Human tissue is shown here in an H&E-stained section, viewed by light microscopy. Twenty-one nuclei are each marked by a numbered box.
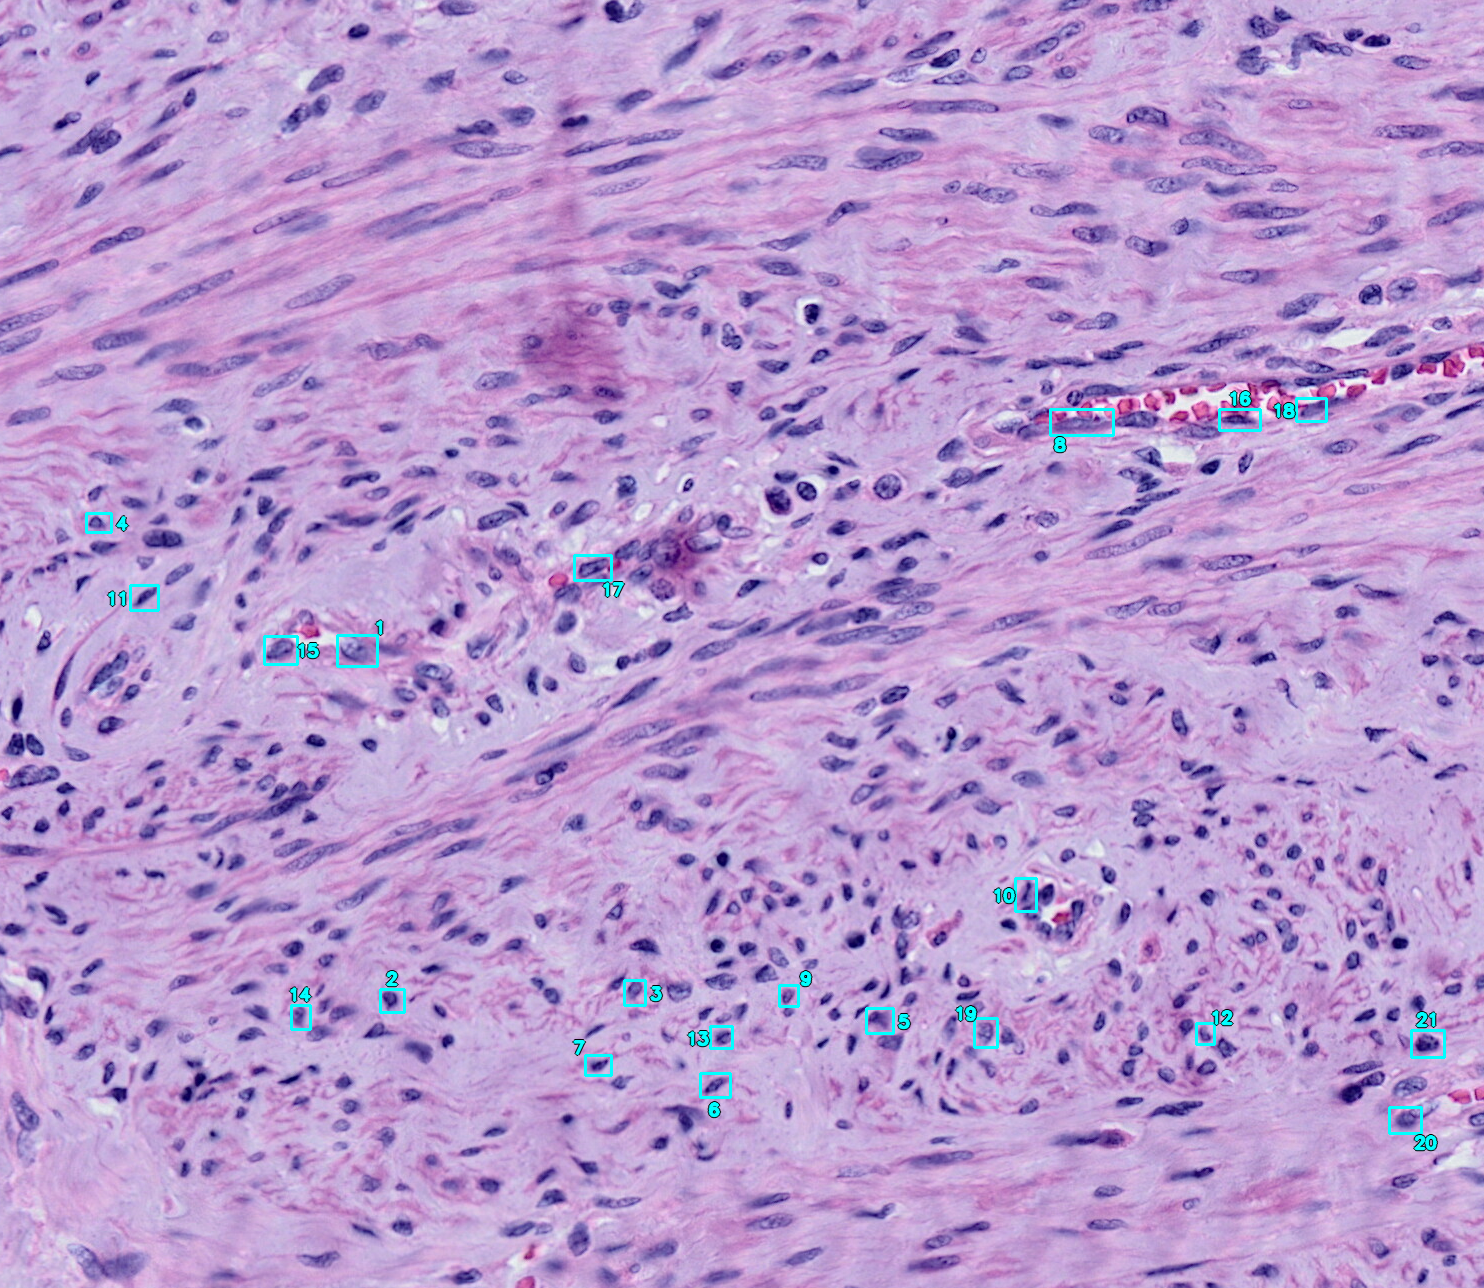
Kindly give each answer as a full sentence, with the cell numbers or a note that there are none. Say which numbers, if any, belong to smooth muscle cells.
The cells that the numbers 2, 3, 4, 5, 6, 7, 9, 12, 13, 14 and 19 belong to are smooth muscle cells.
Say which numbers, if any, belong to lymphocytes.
Cell 21 is the single numbered cell that is a lymphocyte.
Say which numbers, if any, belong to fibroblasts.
In short, cell 11 is a fibroblast; the others are not.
